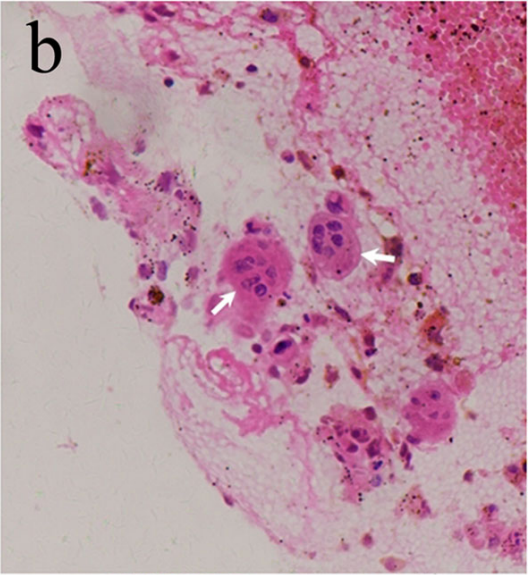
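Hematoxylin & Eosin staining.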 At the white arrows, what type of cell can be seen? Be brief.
multinucleated giant cells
